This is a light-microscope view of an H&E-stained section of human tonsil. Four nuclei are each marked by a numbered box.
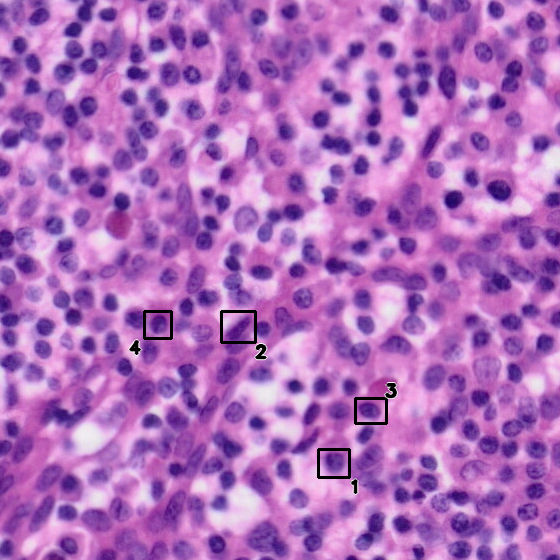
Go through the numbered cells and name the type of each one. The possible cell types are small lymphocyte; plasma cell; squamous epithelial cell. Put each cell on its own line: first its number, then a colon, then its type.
1: plasma cell
2: squamous epithelial cell
3: plasma cell
4: plasma cell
